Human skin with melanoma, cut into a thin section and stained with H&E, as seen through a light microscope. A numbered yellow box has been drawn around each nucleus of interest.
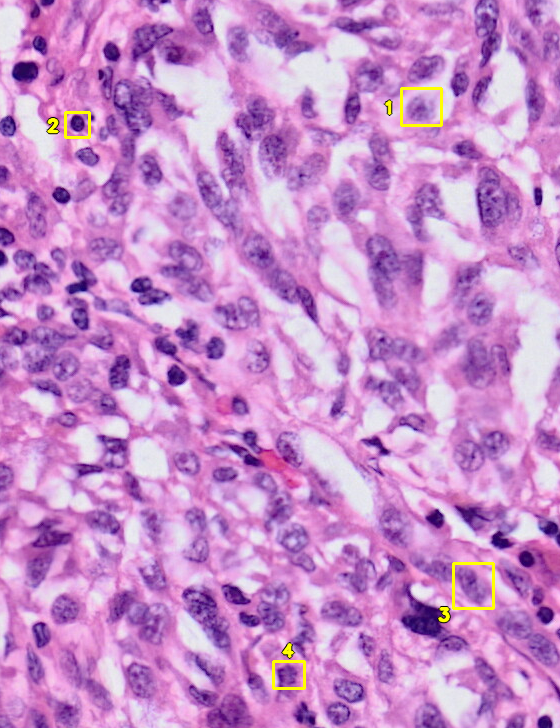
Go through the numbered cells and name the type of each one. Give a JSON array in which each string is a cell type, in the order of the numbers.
["melanoma cell", "lymphocyte", "melanoma cell", "melanoma cell"]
